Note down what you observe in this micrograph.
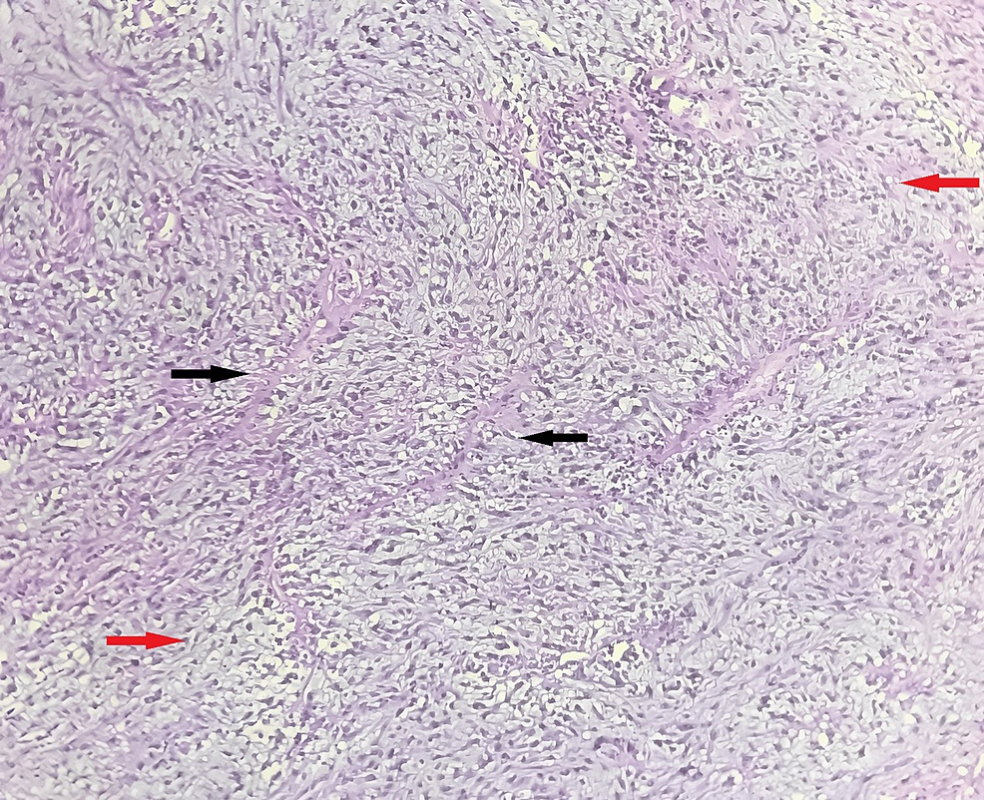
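This is a cellular tumor made of spindle-shaped and ovoid cells. The cells are arranged in fascicles that run in different directions. Between and around the cells lies abundant pale, loose, bluish-lilac myxoid stroma, with many small clear spaces. The nuclei are dark purple, elongated to oval, and crowded in some areas. In other areas the nuclei are more widely spaced within the loose stroma. Thin pinker bands of more fibrillary tissue cross the field where the fascicles lie.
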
